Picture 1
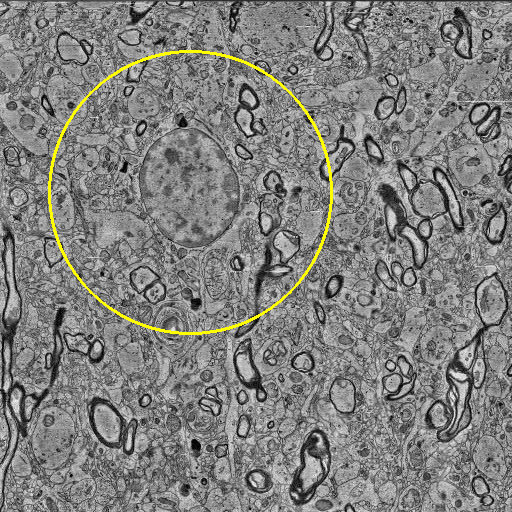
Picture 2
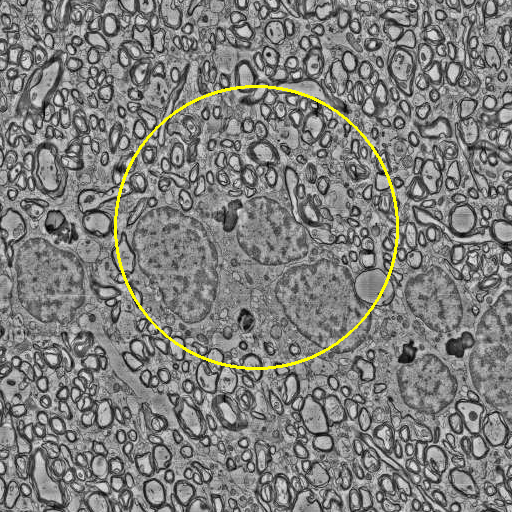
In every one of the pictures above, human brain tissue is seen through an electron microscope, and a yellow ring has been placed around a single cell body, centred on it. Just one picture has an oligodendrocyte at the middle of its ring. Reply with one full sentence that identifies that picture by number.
It is picture 2 that shows the wanted cell at its ring's centre.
